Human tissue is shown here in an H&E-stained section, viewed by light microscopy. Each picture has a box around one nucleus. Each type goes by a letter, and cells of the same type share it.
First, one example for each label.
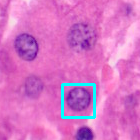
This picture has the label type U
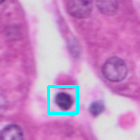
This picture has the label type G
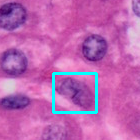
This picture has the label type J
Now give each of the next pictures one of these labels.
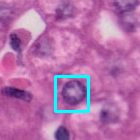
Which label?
type U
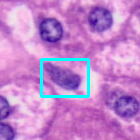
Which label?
type J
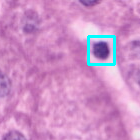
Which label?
type G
